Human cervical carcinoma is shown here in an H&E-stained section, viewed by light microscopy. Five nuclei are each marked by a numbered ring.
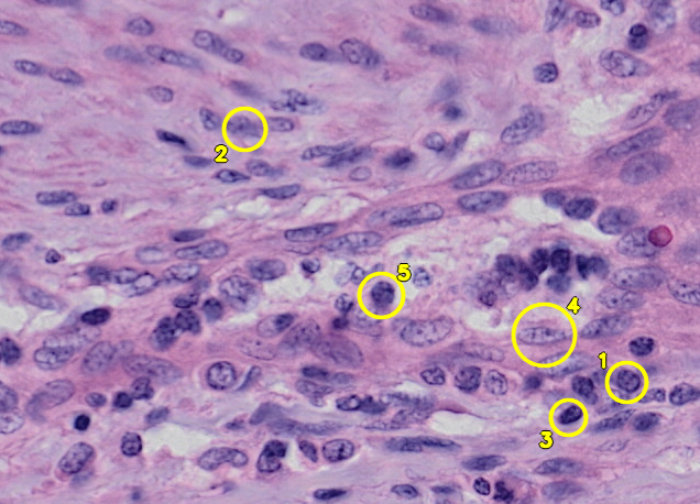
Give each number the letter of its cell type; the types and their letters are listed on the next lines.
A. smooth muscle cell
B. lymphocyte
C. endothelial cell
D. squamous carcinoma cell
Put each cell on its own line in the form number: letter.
1: B
2: A
3: B
4: C
5: B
